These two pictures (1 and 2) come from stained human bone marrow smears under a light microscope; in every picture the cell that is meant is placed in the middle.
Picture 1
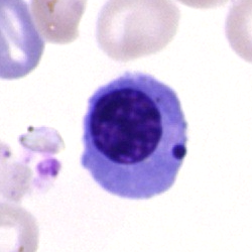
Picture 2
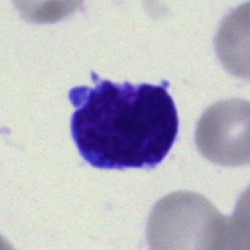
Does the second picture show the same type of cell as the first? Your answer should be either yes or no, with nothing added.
no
